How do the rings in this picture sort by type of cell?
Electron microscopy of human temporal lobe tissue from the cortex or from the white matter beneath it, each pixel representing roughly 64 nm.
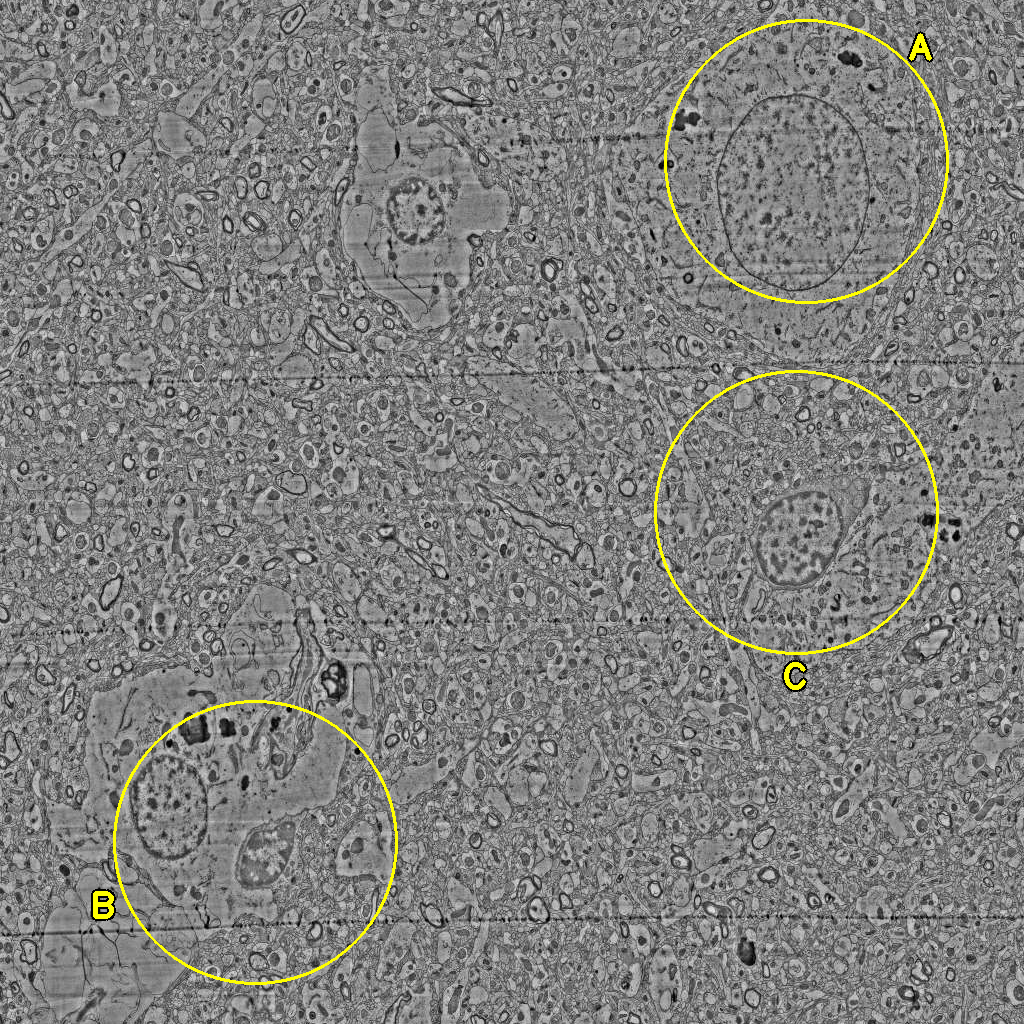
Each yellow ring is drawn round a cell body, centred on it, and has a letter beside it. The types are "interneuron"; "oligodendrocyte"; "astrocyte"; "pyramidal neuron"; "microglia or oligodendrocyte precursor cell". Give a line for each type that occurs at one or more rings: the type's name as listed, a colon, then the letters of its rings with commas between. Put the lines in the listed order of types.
oligodendrocyte: C
pyramidal neuron: A
microglia or oligodendrocyte precursor cell: B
